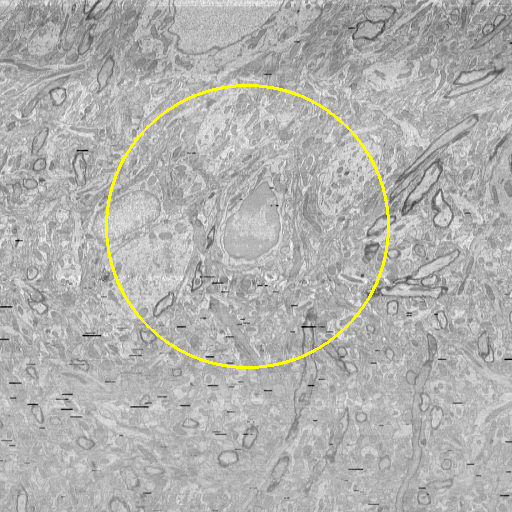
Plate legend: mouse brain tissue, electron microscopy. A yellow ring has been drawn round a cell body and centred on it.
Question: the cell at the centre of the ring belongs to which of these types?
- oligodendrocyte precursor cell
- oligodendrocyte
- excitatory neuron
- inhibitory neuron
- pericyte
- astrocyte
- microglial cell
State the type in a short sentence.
The cell in the middle of the ring is a microglial cell.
